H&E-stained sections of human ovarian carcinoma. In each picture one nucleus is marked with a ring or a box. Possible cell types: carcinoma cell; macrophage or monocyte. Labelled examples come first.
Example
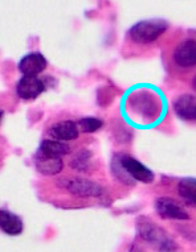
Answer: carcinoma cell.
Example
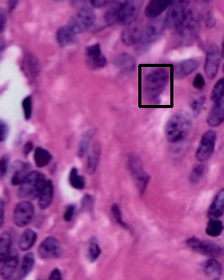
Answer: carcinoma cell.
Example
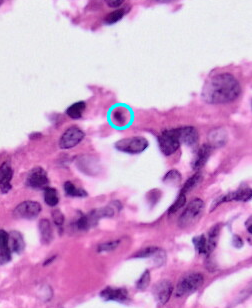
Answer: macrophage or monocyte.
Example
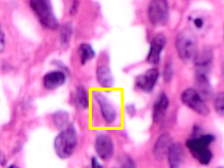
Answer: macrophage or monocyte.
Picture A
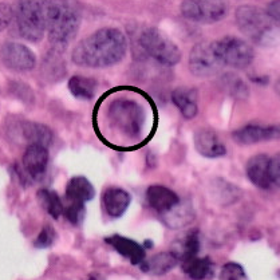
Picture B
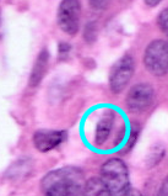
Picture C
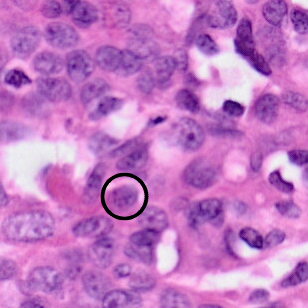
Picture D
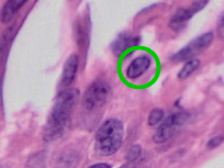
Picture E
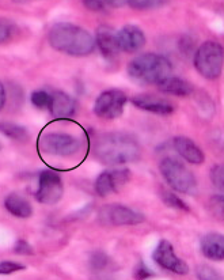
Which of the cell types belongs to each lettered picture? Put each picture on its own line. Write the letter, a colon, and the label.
A: carcinoma cell.
B: carcinoma cell.
C: carcinoma cell.
D: macrophage or monocyte.
E: carcinoma cell.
